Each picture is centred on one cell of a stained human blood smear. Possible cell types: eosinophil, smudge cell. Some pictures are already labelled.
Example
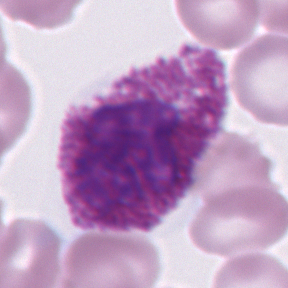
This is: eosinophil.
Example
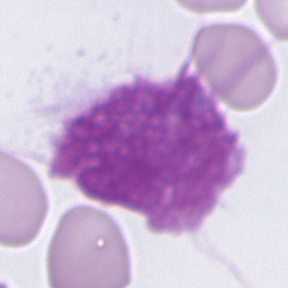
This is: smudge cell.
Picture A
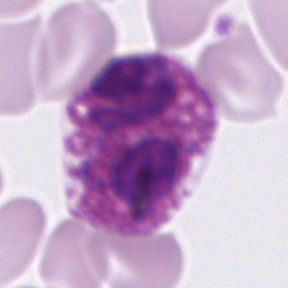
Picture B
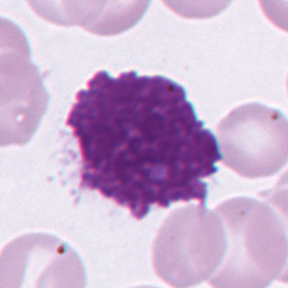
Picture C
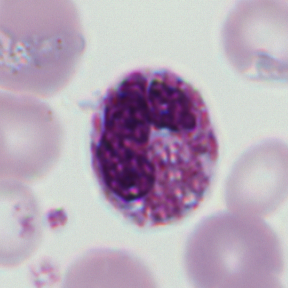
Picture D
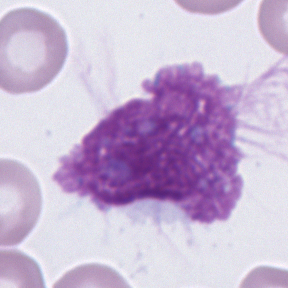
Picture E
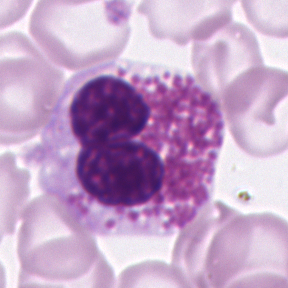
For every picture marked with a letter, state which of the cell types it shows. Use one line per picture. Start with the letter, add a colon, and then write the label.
A: eosinophil.
B: smudge cell.
C: eosinophil.
D: smudge cell.
E: eosinophil.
